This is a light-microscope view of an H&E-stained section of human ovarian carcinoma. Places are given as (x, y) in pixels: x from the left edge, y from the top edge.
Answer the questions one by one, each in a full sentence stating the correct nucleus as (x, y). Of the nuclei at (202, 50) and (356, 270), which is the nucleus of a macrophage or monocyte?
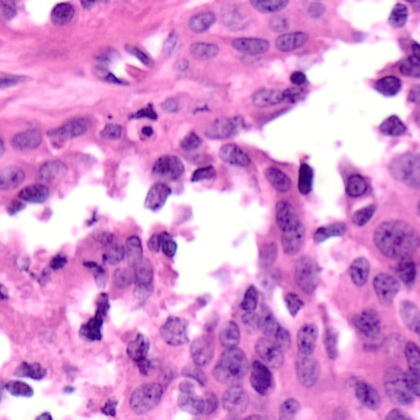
It is the nucleus at (356, 270) that forms part of a macrophage or monocyte.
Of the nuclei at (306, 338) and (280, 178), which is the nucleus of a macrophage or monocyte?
Assigned to a macrophage or monocyte is the nucleus located at (306, 338).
